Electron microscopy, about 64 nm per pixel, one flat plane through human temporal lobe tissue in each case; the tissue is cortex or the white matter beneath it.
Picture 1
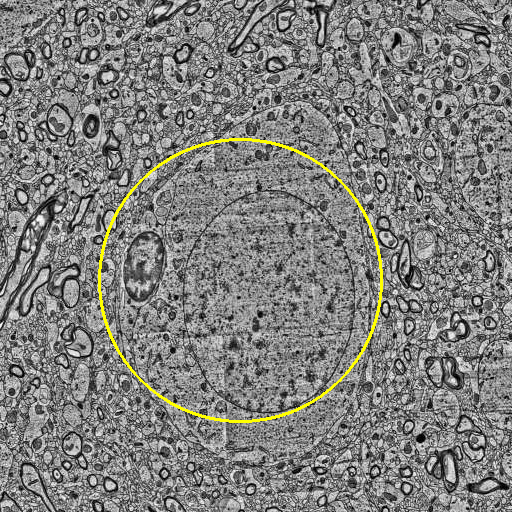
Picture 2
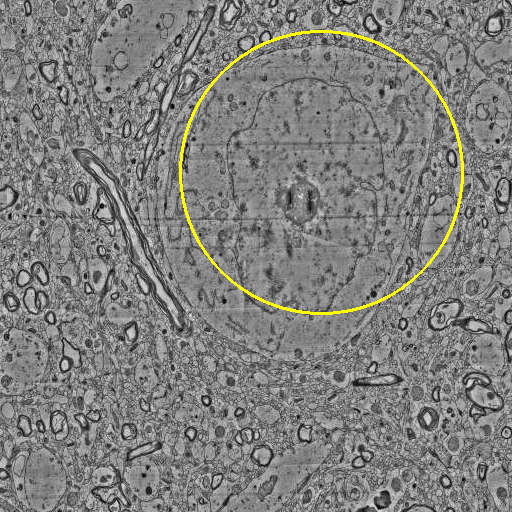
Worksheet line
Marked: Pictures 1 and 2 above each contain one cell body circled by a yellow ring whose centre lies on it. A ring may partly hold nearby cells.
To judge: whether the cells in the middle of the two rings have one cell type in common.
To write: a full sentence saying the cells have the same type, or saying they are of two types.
The cells in the middle of the rings in Picture 1 and Picture 2 have the same type.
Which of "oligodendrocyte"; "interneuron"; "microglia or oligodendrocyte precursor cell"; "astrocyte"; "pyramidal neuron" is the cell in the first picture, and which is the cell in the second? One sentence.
The cell at the ring centre is a pyramidal neuron in both pictures.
